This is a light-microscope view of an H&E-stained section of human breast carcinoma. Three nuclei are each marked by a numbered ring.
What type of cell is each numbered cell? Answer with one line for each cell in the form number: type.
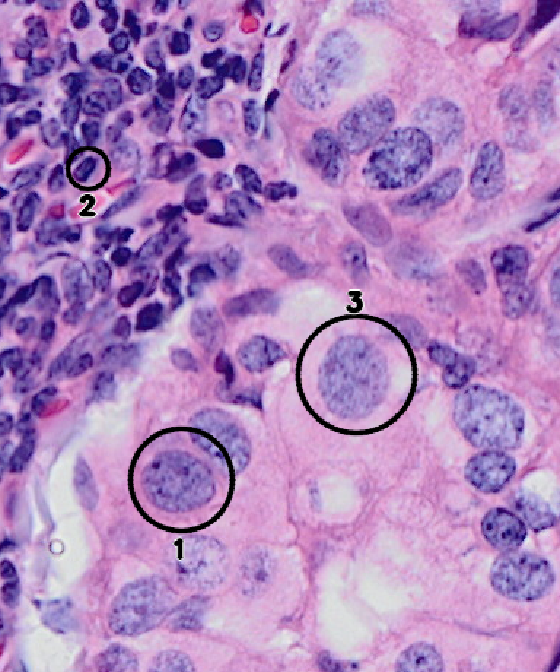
1: carcinoma cell
2: lymphocyte
3: carcinoma cell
